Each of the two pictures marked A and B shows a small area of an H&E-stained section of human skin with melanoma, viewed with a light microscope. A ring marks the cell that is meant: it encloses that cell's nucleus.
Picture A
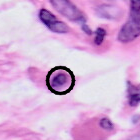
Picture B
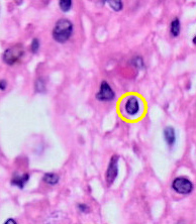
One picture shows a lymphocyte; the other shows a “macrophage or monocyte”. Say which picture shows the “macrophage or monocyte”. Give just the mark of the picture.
A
